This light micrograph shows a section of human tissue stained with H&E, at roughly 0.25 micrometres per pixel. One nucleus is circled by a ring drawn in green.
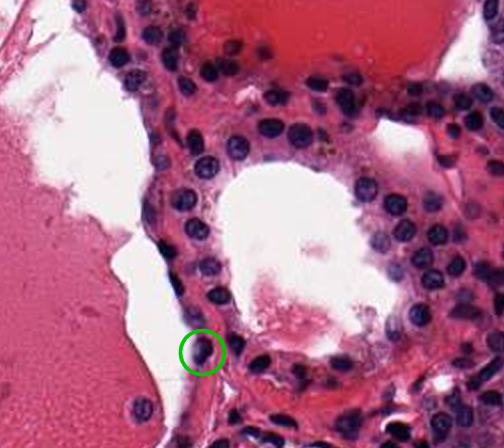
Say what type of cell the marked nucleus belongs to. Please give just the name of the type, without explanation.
thyroid follicular cell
